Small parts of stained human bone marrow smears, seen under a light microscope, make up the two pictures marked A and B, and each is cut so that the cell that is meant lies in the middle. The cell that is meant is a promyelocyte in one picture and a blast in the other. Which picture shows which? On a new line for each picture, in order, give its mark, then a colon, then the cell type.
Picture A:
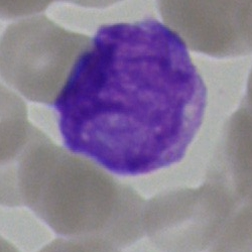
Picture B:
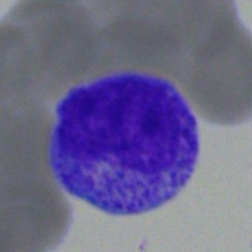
A: blast
B: promyelocyte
